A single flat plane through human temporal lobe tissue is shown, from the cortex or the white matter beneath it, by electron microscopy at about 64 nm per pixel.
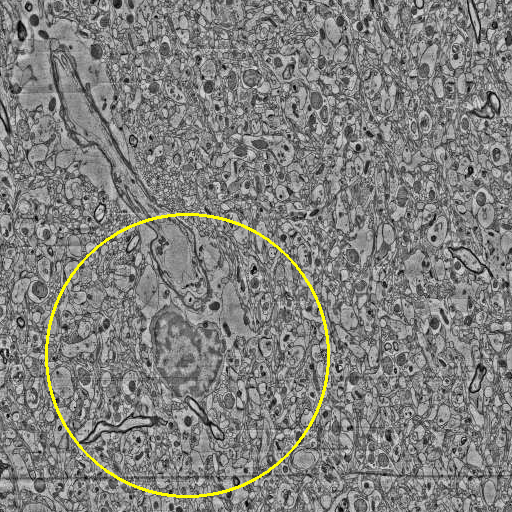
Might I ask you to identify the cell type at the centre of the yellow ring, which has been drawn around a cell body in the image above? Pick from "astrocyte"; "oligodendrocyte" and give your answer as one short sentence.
The centre of the ring falls on an oligodendrocyte.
